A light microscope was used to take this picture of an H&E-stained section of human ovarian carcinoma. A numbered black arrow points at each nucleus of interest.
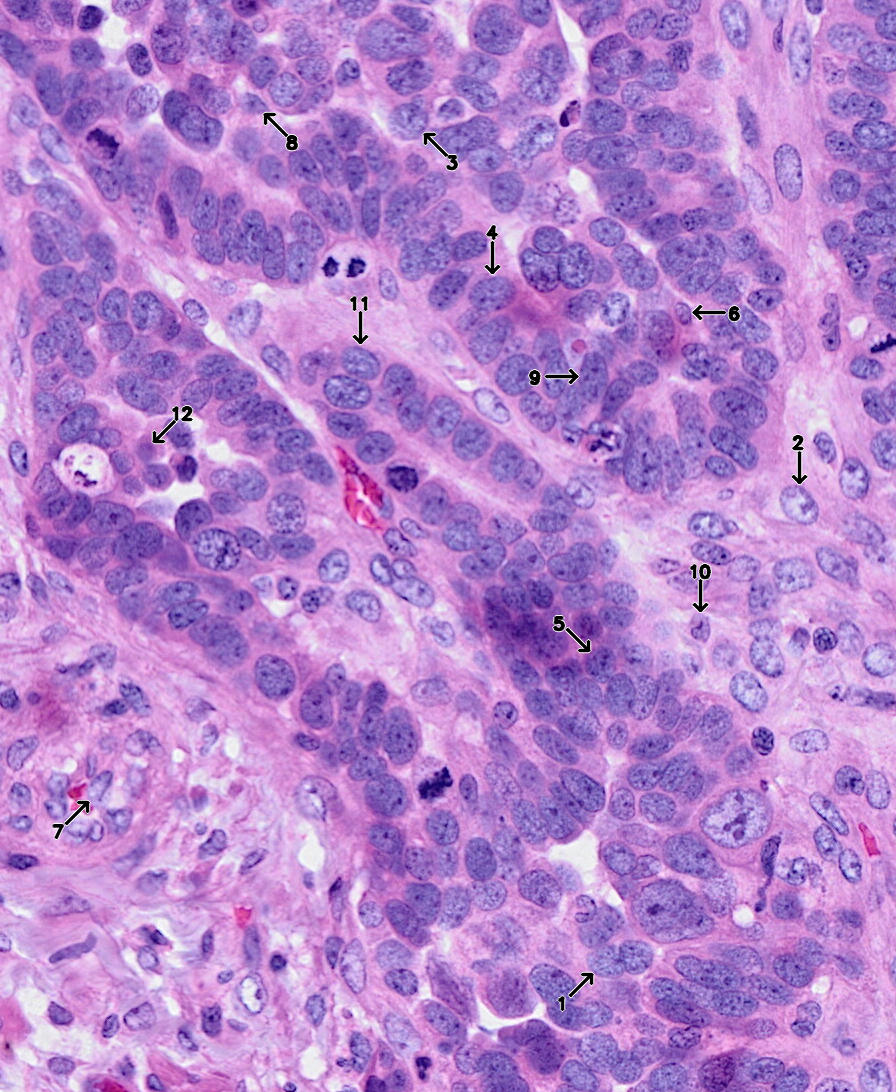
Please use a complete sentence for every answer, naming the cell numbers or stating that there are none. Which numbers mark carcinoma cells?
The cells identified by the numbers 1, 3, 4, 5, 9, 11 and 12 are carcinoma cells.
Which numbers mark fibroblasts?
Cell 2 is a fibroblast; no further numbered cell is.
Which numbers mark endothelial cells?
Only number 7 is an endothelial cell; none of the others are.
